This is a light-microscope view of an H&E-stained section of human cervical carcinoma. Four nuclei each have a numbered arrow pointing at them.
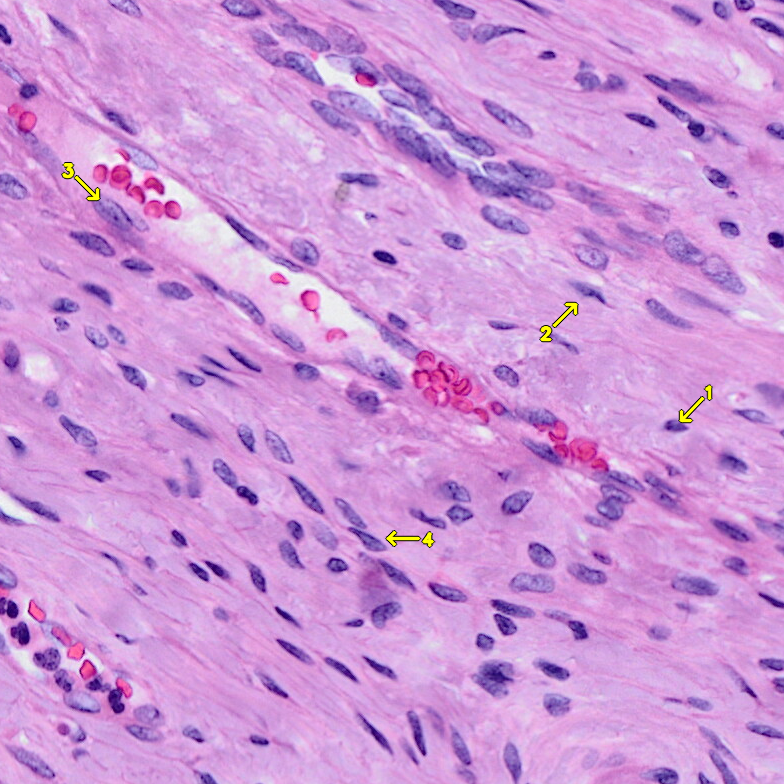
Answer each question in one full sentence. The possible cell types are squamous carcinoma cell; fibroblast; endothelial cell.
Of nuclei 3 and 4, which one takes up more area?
It is nucleus 3, which covers about 2 times the area of nucleus 4.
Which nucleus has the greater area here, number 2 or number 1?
Number 2 is larger; its area is about 2 times that of number 1.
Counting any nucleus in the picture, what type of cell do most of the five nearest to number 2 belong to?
Endothelial cells account for more than half of the five nuclei nearest to number 2.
